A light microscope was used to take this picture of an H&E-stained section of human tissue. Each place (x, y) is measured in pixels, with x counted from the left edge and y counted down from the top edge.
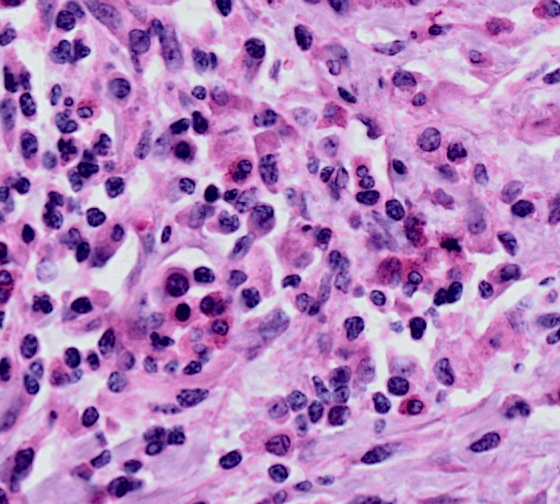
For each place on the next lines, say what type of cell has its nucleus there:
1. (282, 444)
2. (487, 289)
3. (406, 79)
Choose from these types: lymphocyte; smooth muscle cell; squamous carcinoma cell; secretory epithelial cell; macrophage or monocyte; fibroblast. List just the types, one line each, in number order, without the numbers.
macrophage or monocyte
lymphocyte
macrophage or monocyte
